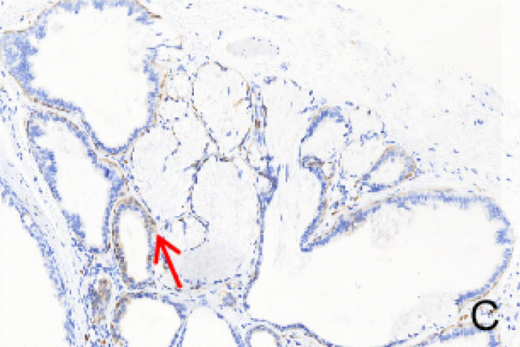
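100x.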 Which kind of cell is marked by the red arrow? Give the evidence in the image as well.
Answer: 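The arrow points to a thin faint brown line at the outer edge of a gland, next to the stroma. The inner lining cells are blue. On this evidence: basal cells.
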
